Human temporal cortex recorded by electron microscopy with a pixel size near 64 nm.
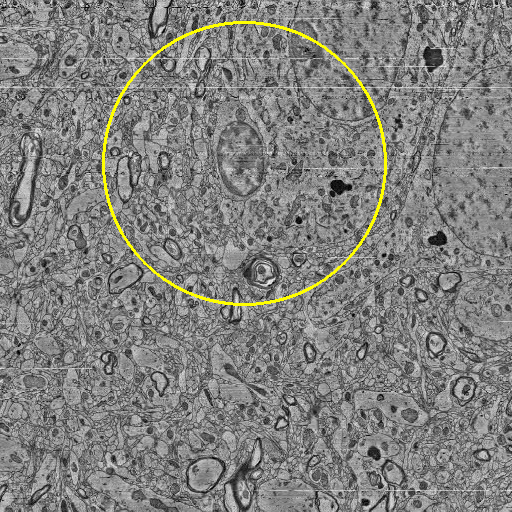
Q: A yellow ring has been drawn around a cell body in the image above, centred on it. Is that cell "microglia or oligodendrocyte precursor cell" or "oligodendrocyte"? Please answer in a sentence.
The ring surrounds the cell body of an oligodendrocyte.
